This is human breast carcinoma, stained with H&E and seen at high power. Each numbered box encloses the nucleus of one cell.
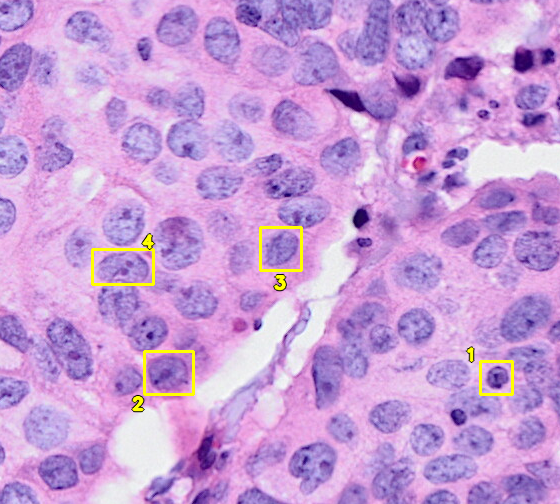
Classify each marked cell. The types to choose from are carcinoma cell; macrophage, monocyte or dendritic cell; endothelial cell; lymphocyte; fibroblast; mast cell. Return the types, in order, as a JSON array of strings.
["lymphocyte", "carcinoma cell", "carcinoma cell", "carcinoma cell"]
